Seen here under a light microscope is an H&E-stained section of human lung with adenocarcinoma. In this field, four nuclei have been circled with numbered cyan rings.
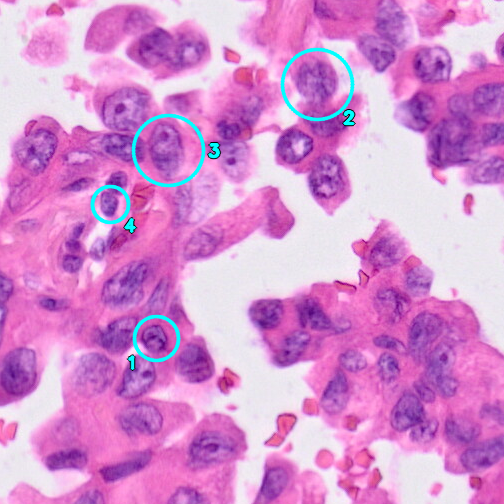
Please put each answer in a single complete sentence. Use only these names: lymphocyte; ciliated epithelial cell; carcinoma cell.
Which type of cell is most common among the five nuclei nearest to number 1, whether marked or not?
Most of the five nuclei nearest to number 1 are those of carcinoma cells.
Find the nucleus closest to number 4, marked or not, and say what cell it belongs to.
Number 4 lies closest to the nucleus of a lymphocyte.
